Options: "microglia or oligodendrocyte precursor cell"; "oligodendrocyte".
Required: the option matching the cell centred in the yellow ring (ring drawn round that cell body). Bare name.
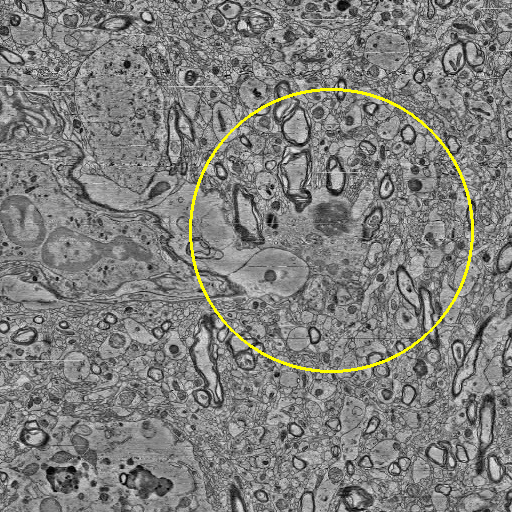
oligodendrocyte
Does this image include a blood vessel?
Yes, there is a blood vessel.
